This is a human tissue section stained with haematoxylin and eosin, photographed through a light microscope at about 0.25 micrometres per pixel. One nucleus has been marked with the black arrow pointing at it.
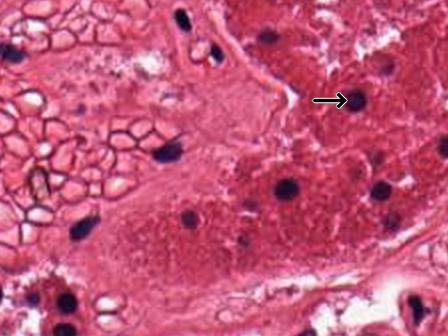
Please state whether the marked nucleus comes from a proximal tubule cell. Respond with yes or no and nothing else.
yes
